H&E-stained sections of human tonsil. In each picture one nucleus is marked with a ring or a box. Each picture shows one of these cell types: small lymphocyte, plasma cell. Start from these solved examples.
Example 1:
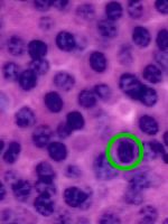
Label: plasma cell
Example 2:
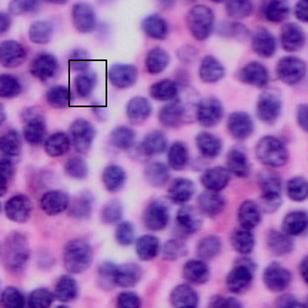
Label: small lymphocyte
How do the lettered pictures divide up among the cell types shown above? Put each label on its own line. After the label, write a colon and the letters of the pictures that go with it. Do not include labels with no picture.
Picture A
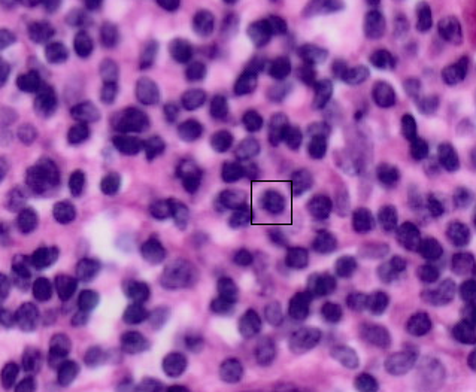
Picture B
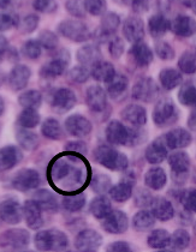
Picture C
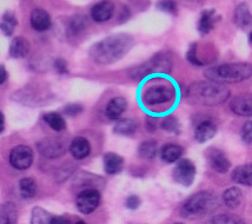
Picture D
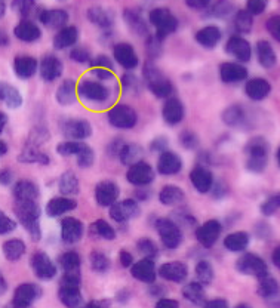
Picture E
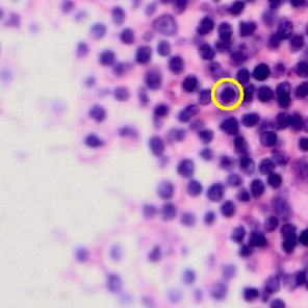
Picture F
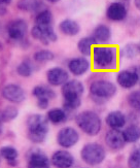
small lymphocyte: A, B, D, E
plasma cell: C, F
